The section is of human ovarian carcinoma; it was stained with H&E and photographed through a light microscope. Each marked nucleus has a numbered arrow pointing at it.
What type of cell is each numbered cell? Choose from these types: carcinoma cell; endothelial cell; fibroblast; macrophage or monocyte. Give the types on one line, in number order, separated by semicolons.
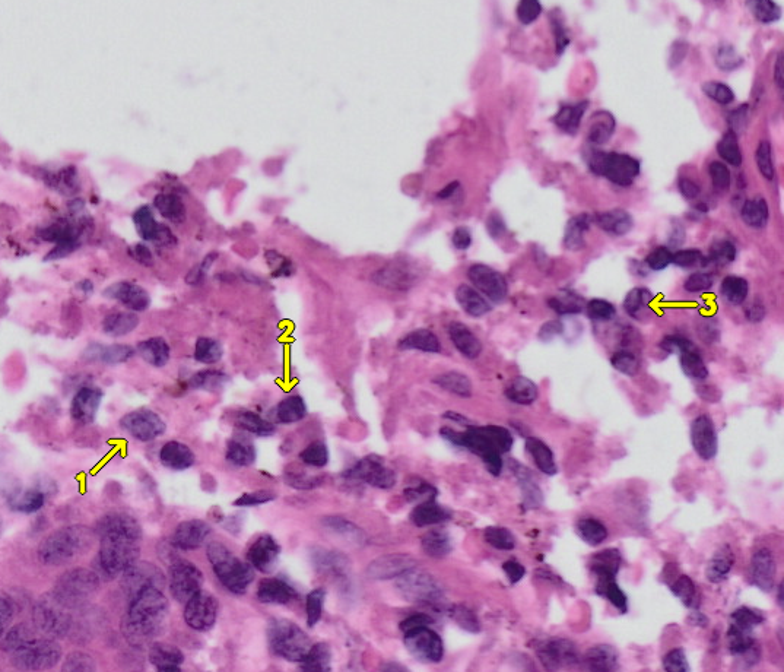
macrophage or monocyte; carcinoma cell; carcinoma cell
